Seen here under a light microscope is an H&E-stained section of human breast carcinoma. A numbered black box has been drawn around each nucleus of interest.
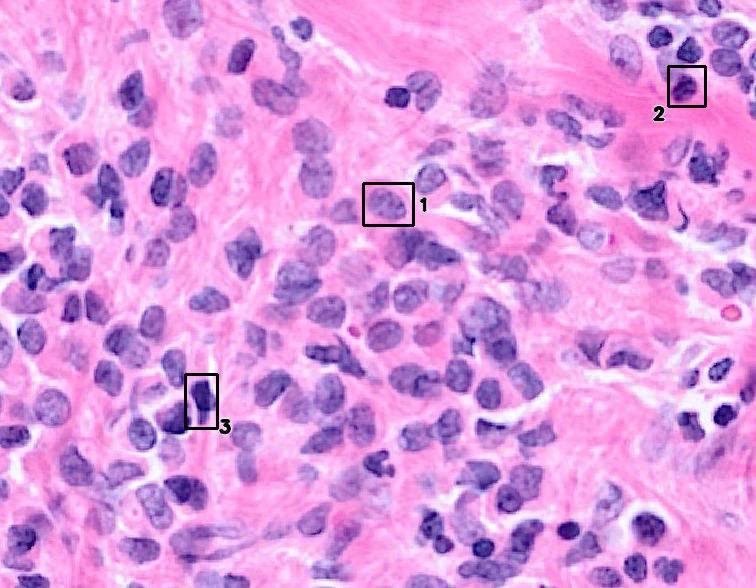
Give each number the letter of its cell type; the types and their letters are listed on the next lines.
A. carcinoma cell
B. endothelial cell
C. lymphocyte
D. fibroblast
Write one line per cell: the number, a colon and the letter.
1: A
2: C
3: A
